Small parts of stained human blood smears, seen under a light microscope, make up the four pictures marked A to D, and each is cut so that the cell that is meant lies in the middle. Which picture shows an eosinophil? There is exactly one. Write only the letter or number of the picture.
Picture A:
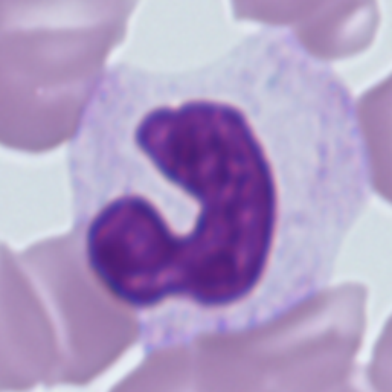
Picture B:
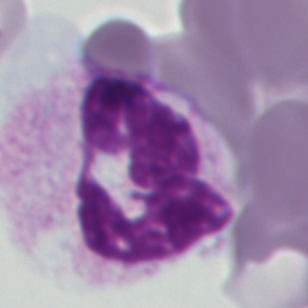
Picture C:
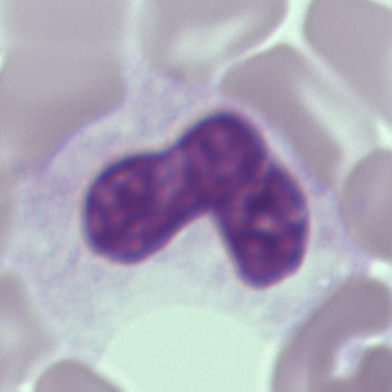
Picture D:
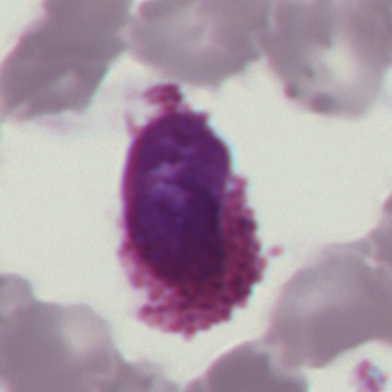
D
